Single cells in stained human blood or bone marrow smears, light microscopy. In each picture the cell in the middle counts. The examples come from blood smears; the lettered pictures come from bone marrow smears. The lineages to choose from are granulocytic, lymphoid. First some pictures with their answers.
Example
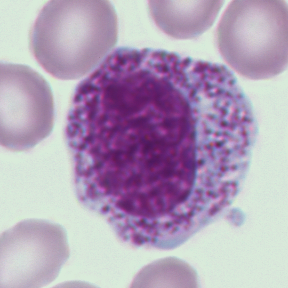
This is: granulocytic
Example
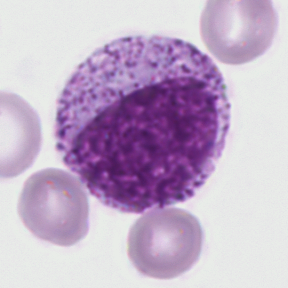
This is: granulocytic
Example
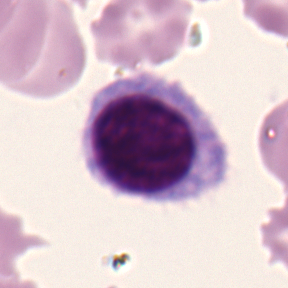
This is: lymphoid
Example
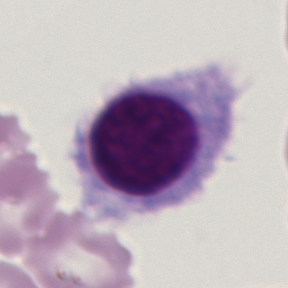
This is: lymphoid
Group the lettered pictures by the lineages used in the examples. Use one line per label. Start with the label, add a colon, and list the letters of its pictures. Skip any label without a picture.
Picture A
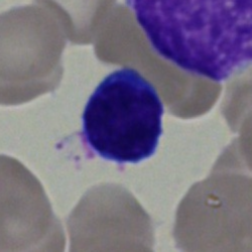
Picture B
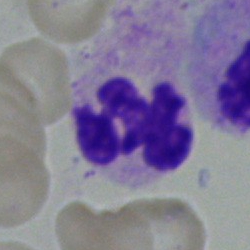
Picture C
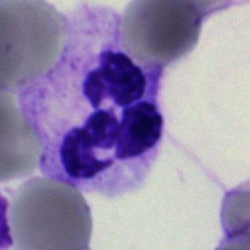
granulocytic: B, C
lymphoid: A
